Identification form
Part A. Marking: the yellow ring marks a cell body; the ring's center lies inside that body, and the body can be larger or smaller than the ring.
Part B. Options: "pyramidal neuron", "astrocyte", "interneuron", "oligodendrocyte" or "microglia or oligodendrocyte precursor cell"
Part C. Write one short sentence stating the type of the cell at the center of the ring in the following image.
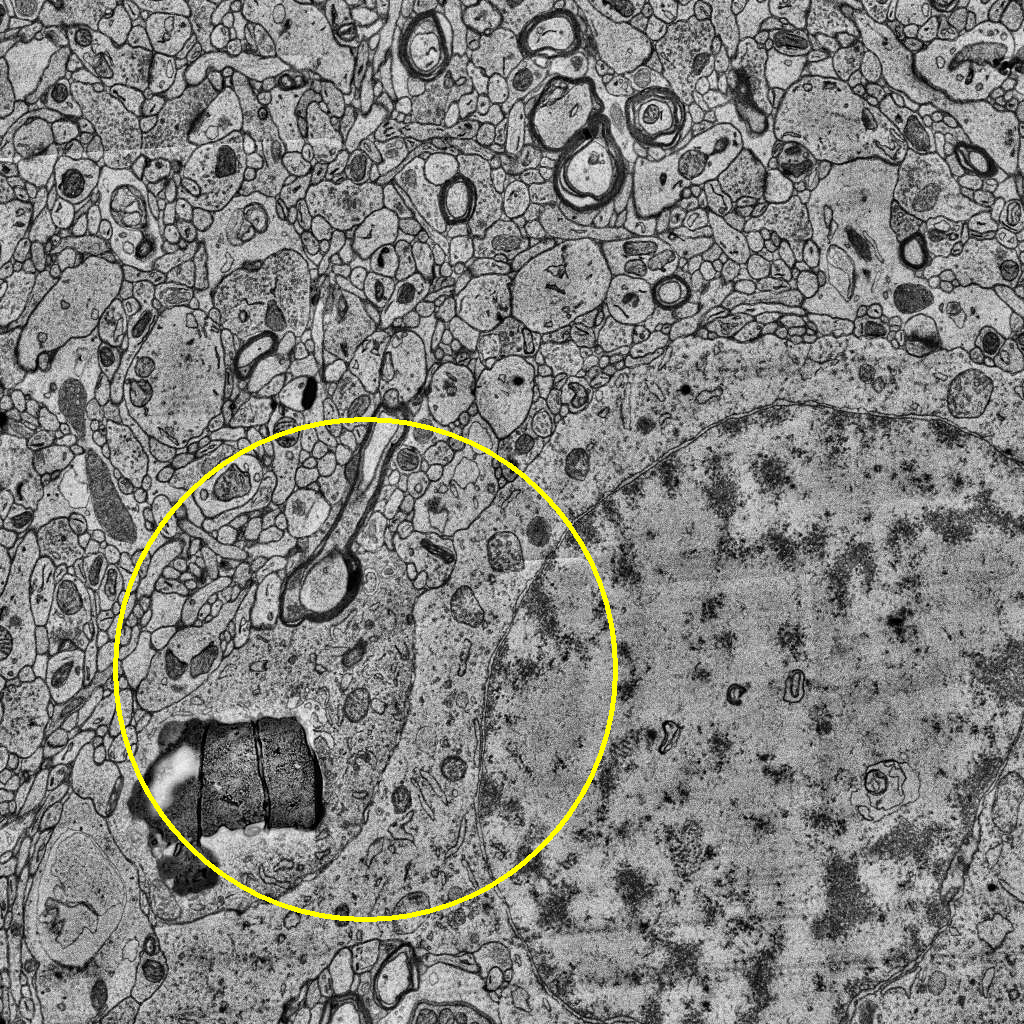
The center of the ring holds an oligodendrocyte.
